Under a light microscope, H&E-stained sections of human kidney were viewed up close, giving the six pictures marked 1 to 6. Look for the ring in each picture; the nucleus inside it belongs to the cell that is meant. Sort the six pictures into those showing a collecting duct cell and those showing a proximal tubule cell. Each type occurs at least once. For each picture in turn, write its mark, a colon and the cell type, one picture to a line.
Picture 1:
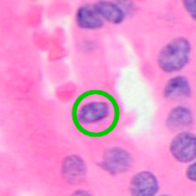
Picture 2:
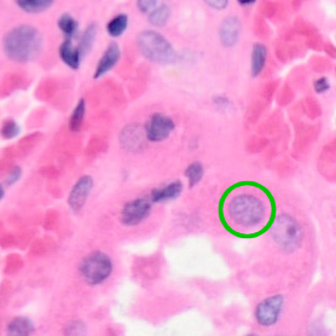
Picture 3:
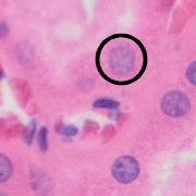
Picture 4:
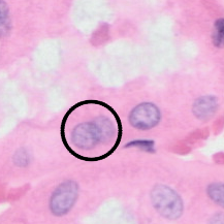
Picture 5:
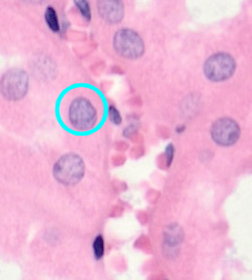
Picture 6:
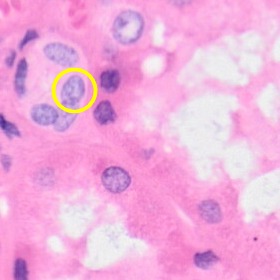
1: collecting duct cell
2: proximal tubule cell
3: proximal tubule cell
4: proximal tubule cell
5: proximal tubule cell
6: collecting duct cell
